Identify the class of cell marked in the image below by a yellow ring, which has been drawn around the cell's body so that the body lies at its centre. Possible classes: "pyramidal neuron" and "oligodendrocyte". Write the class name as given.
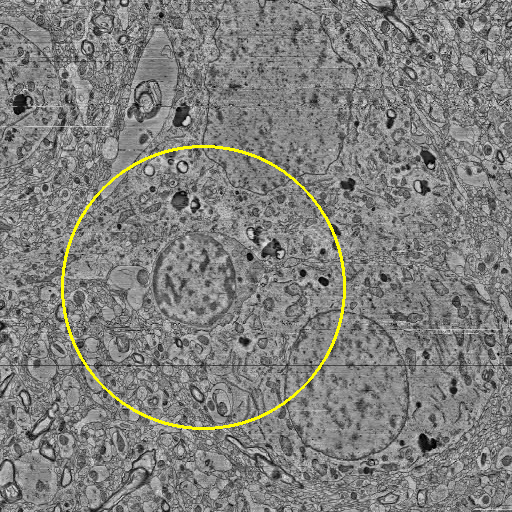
oligodendrocyte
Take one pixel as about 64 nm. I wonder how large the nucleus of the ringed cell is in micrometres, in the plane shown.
About 6 by 5 micrometers, in this plane.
